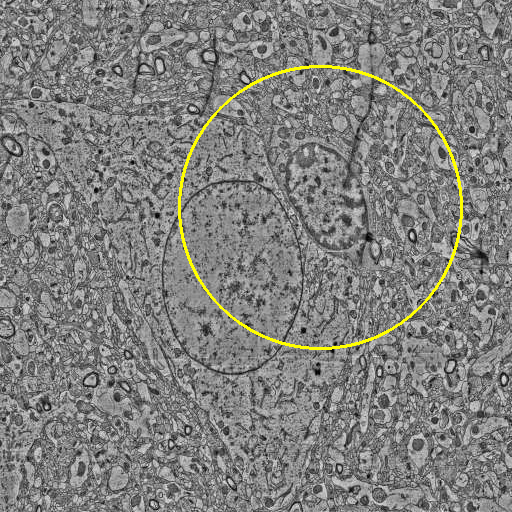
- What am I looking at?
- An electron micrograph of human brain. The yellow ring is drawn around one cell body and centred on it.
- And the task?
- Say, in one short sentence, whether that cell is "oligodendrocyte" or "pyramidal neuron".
The cell in the middle of the ring is an oligodendrocyte.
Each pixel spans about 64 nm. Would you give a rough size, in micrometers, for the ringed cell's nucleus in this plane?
The nucleus has a long axis of about 7 micrometres and a short axis of about 5 micrometres in this plane.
